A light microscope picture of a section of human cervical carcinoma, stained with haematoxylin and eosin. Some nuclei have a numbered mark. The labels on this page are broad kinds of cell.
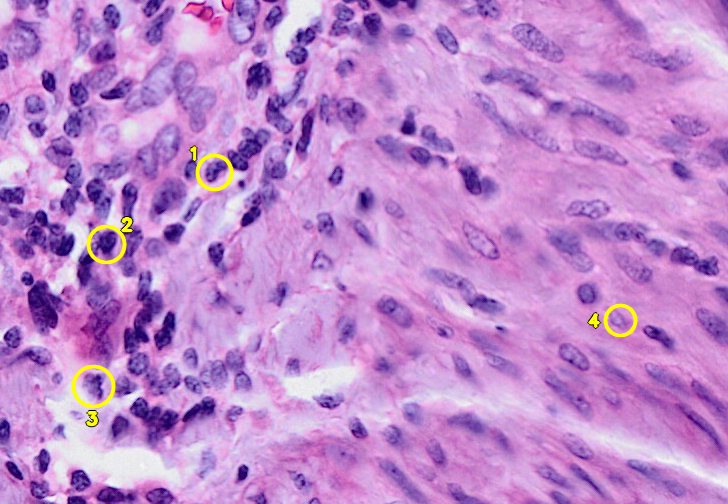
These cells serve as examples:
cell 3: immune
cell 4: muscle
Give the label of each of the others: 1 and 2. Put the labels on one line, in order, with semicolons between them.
immune; immune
